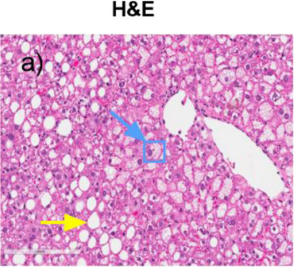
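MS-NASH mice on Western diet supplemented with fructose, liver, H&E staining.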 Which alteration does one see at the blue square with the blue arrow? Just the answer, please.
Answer: Microvesicular ballooning.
